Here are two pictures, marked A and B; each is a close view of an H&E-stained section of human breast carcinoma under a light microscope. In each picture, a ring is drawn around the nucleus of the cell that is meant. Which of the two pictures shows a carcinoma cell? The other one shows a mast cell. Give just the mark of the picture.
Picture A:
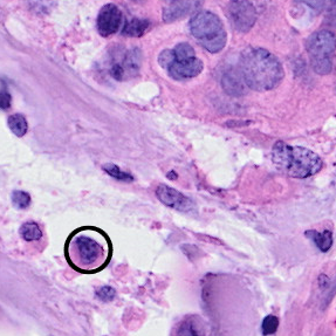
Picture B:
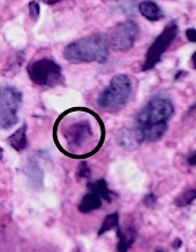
B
